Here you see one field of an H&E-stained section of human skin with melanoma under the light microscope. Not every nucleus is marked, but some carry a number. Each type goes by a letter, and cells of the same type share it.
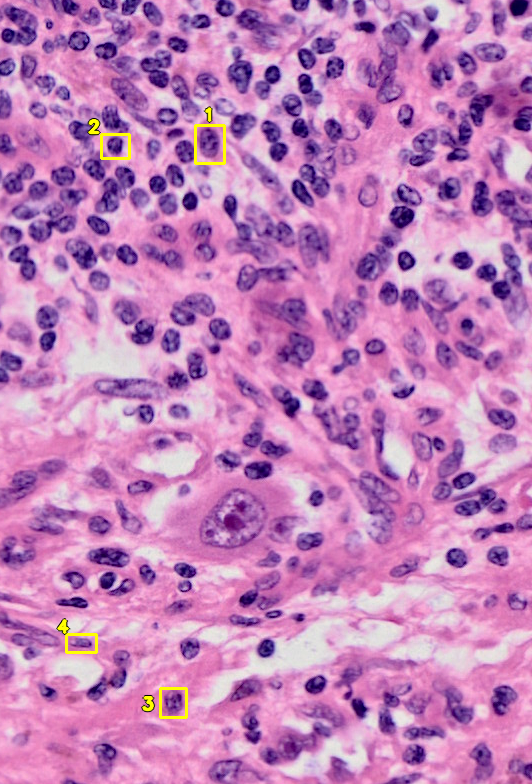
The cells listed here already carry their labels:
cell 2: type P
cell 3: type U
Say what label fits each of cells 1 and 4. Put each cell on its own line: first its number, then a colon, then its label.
1: type U
4: type U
